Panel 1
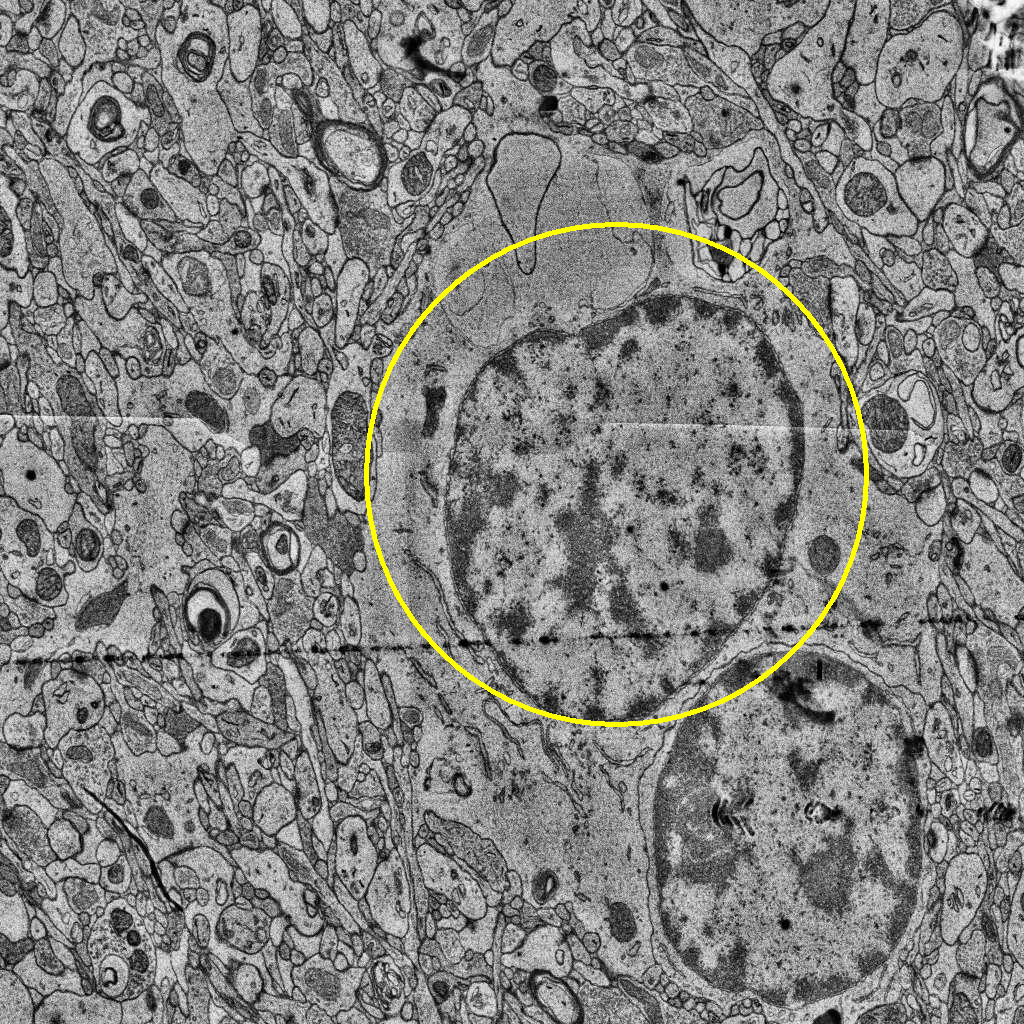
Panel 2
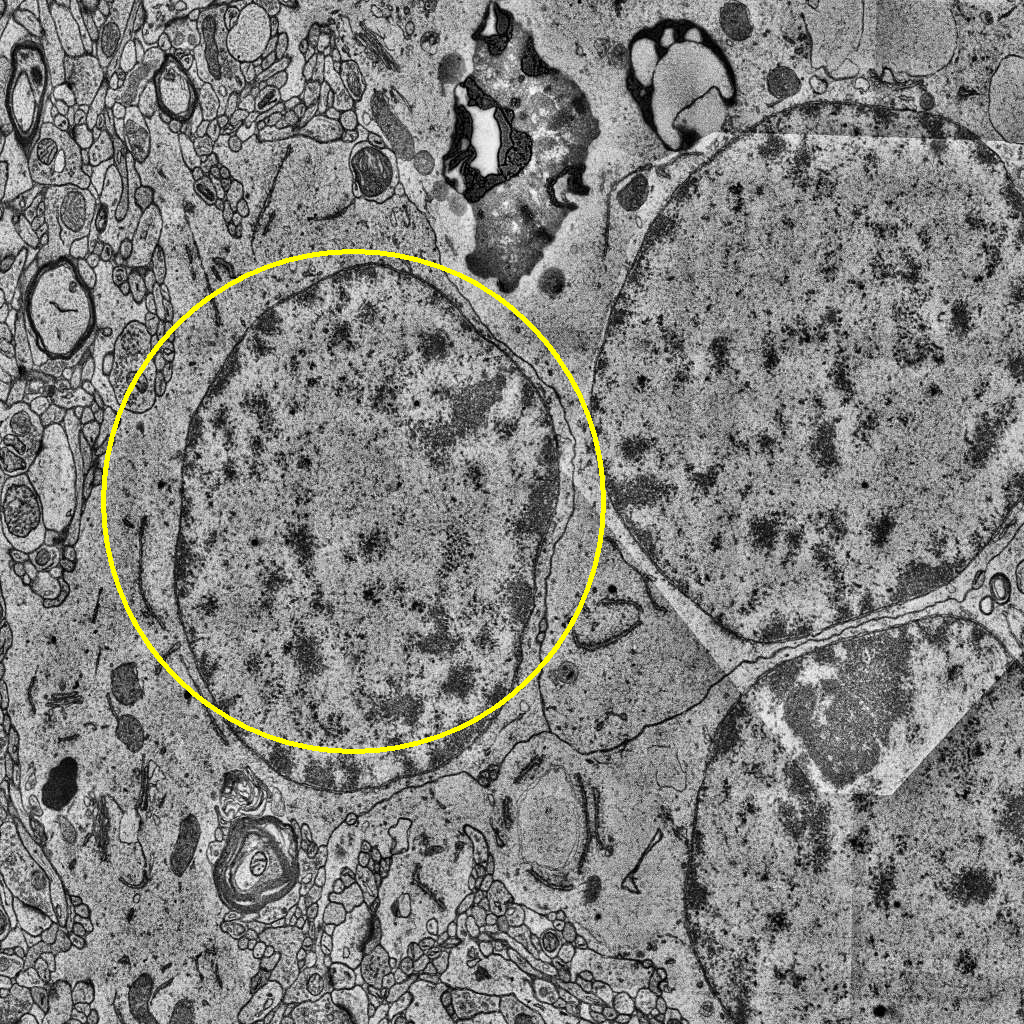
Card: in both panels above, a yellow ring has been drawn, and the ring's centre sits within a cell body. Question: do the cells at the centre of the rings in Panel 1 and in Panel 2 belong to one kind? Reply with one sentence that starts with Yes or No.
Yes, the cells at the ring centres of Panel 1 and Panel 2 are one kind of cell.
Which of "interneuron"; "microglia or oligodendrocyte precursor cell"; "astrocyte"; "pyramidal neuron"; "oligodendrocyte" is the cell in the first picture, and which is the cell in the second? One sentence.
Both rings mark an astrocyte, one in each picture.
